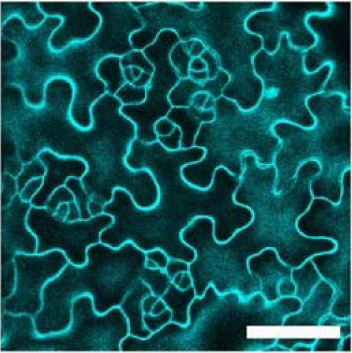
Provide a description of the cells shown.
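This is leaf epidermis seen from the surface, with large jigsaw-shaped cells with wavy walls outlined in cyan. Among them lie many clusters of small cells in spiral arrangement, each with a small triangular meristemoid at its centre. No stomata with paired guard cells are present.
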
